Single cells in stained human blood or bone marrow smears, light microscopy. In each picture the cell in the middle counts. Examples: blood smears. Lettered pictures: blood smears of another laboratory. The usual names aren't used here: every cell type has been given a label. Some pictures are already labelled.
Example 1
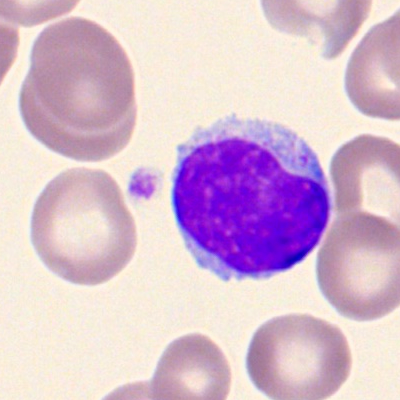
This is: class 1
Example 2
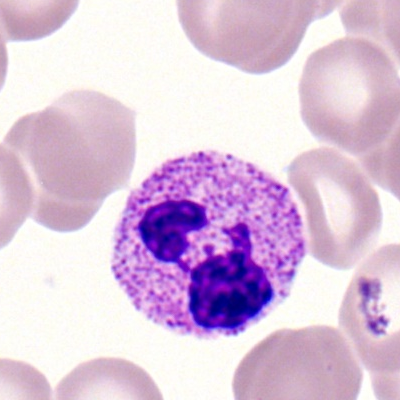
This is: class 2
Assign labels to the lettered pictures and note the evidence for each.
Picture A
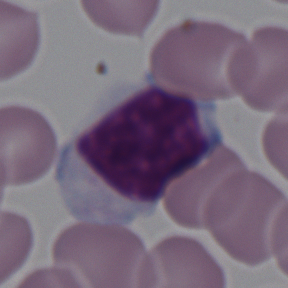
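Label: class 1. The nucleus fills most of the cell and sits toward its upper right.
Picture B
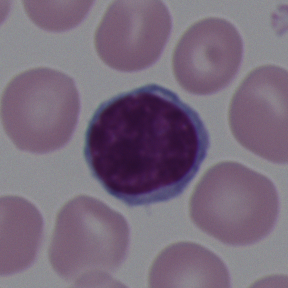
Label: class 1. The cytoplasm forms only a thin rim around the nucleus.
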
